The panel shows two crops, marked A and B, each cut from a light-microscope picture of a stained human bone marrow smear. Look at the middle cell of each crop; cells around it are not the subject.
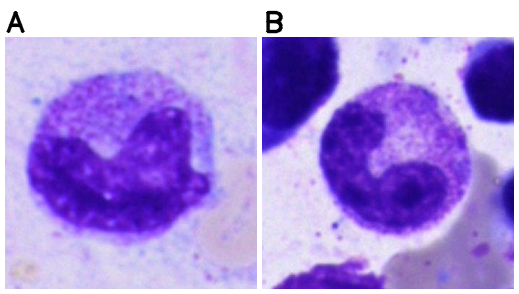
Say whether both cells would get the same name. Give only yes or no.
yes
